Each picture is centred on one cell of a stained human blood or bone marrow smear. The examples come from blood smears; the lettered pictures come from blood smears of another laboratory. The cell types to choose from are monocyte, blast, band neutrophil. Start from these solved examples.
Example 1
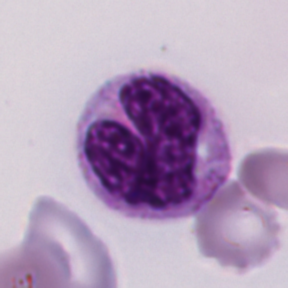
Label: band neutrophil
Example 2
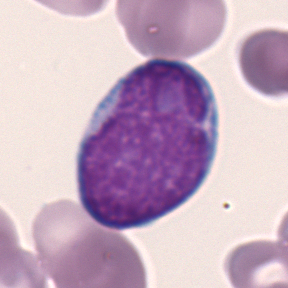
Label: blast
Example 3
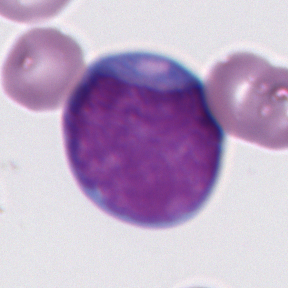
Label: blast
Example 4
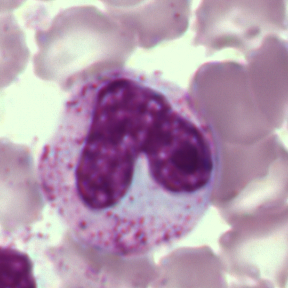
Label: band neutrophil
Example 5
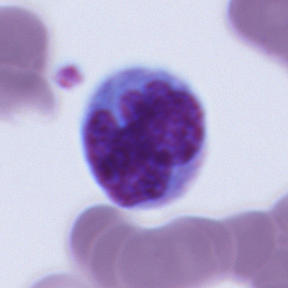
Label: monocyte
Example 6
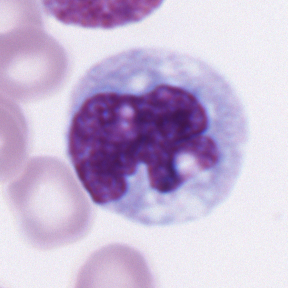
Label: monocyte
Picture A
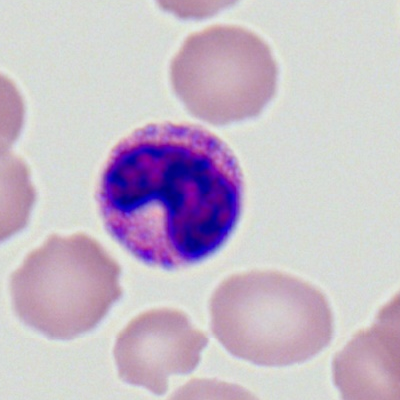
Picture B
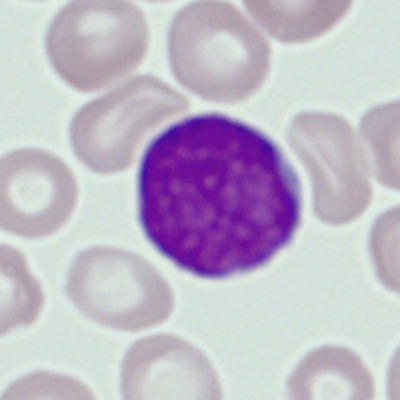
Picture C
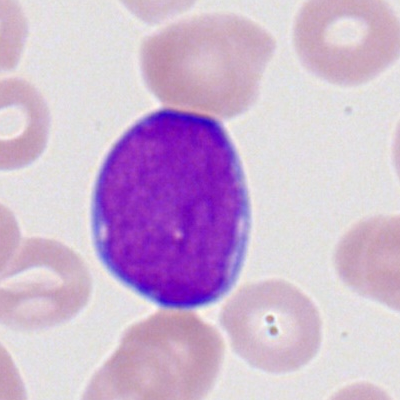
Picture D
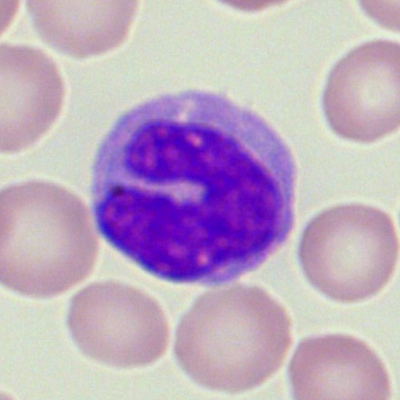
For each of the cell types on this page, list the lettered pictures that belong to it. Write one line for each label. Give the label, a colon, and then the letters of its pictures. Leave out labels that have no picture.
monocyte: D
blast: B, C
band neutrophil: A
